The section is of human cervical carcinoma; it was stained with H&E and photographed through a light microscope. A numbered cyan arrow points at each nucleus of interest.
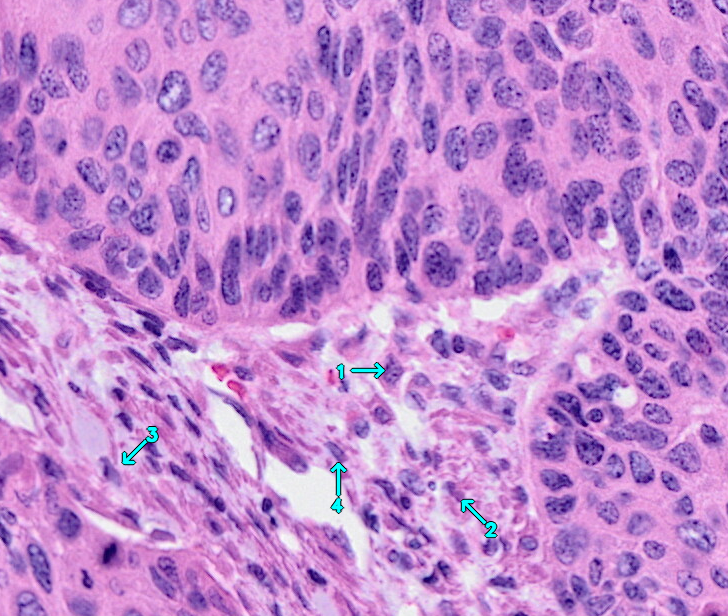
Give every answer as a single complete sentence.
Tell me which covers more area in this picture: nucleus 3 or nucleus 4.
It is nucleus 3, which covers about 1.5 times the area of nucleus 4.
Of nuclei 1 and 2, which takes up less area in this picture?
Number 2 is smaller, since number 1 takes up about 2 times as much area.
